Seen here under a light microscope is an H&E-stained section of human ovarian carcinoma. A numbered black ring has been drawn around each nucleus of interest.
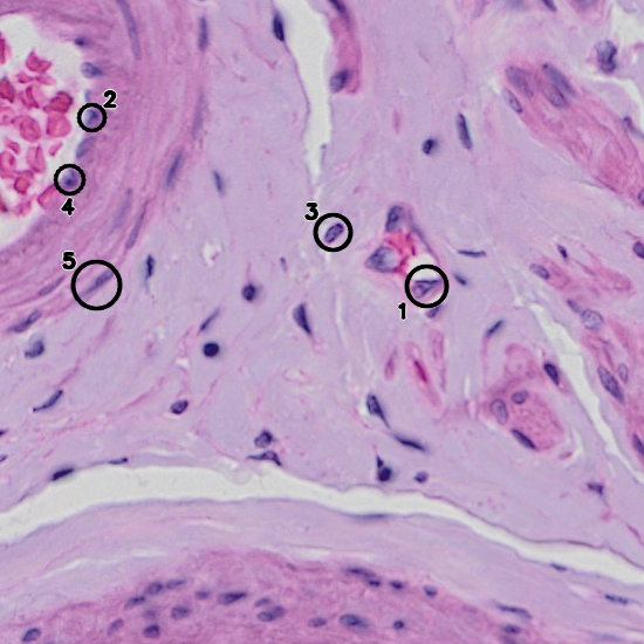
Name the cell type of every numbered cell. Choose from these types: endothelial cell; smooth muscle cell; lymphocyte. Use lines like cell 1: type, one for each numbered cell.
cell 1: endothelial cell
cell 2: endothelial cell
cell 3: lymphocyte
cell 4: endothelial cell
cell 5: smooth muscle cell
